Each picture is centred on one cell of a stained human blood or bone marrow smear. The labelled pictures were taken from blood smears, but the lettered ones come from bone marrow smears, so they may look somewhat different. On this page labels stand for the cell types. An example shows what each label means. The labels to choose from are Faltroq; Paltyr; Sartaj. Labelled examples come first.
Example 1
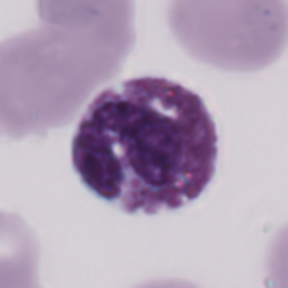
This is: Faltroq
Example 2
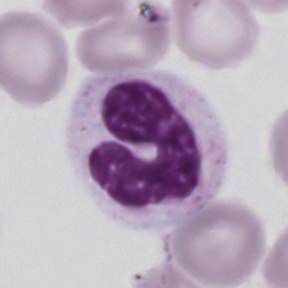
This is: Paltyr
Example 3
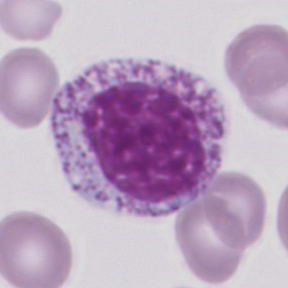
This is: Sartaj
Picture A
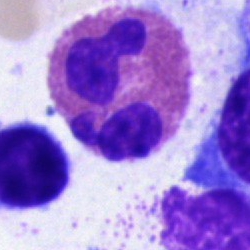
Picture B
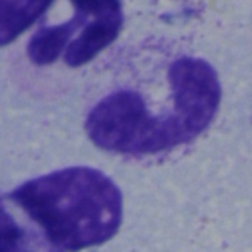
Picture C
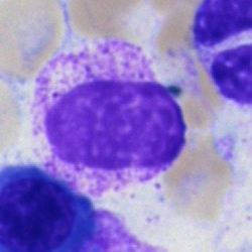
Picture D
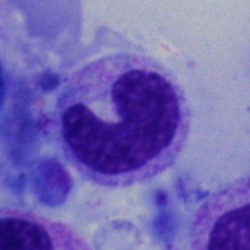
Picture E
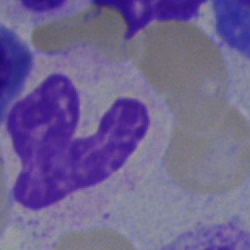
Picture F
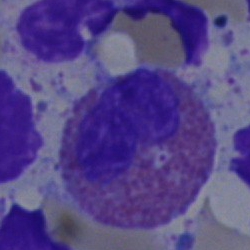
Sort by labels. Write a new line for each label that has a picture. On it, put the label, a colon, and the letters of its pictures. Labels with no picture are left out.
Faltroq: A, F
Paltyr: B, D, E
Sartaj: C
